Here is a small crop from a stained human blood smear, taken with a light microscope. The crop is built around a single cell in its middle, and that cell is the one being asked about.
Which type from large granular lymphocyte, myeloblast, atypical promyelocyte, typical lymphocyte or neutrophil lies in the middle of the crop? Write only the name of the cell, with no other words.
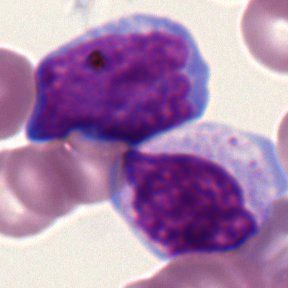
myeloblast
